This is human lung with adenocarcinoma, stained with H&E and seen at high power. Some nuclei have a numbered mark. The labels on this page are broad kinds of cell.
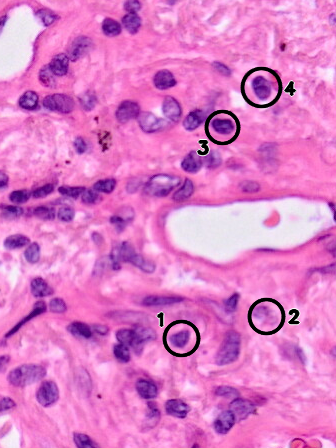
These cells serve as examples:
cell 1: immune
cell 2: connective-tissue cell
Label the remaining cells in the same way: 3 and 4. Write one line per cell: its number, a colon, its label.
3: immune
4: immune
